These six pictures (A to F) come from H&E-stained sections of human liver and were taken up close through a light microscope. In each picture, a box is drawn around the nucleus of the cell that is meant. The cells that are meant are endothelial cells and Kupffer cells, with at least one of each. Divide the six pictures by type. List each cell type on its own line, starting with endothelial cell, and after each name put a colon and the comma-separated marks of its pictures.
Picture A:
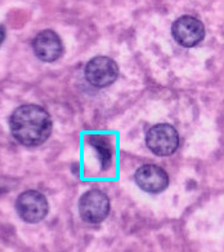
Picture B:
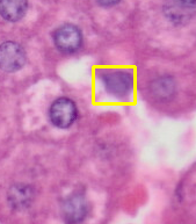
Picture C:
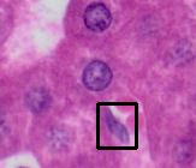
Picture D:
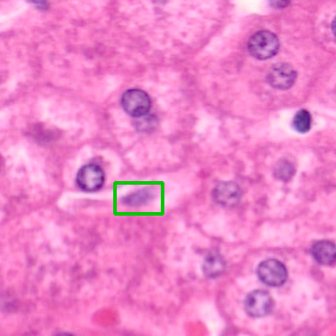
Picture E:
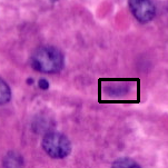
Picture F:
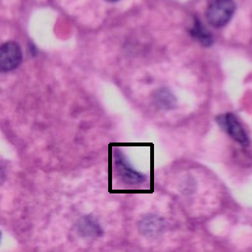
endothelial cell: A, C, E, F
Kupffer cell: B, D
